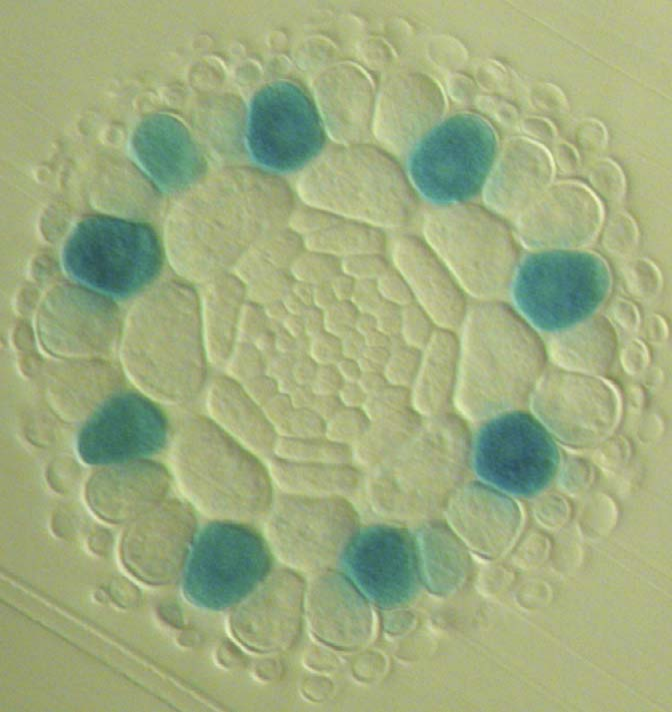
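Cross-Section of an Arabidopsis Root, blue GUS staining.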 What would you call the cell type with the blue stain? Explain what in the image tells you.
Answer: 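Trichoblasts. Single blue cells are spaced around one ring of cells in the section. Unstained cells lie between the blue cells in the same ring.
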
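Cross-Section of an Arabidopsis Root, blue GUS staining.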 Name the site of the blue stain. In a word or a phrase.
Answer: over the clefts between underlying cortical cells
